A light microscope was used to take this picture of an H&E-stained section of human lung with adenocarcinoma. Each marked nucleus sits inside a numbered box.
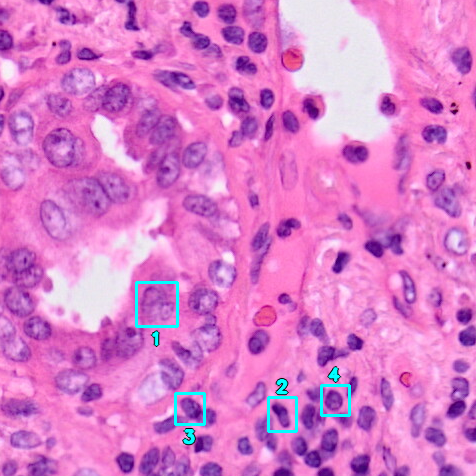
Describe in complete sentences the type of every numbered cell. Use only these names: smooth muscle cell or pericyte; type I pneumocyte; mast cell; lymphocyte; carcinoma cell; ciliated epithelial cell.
Cell 1 is a carcinoma cell. Cells 2, 3 and 4 are lymphocytes.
